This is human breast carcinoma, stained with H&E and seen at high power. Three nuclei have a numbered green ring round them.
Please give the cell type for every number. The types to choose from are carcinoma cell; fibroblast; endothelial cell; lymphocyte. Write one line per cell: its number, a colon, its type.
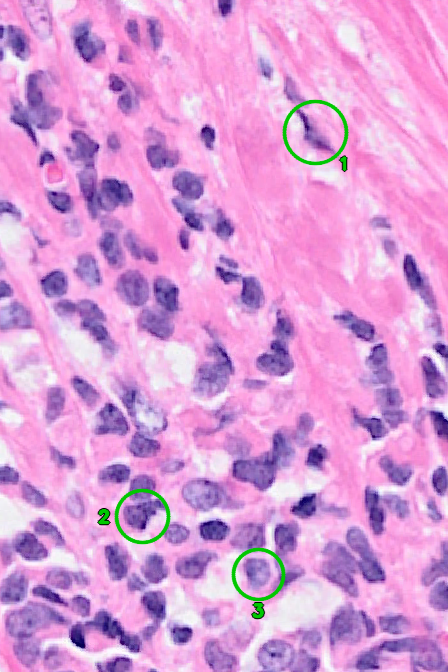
1: fibroblast
2: carcinoma cell
3: carcinoma cell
